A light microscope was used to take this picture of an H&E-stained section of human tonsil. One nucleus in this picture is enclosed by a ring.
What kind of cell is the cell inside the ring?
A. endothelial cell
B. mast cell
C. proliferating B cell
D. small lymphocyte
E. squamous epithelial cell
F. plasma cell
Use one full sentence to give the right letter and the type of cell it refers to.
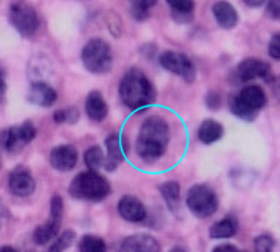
Option C gives the correct identity of the cell inside the ring, which is a proliferating B cell.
